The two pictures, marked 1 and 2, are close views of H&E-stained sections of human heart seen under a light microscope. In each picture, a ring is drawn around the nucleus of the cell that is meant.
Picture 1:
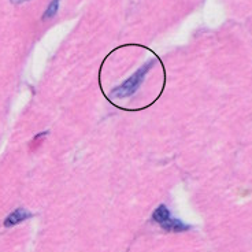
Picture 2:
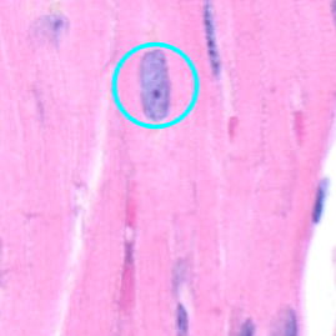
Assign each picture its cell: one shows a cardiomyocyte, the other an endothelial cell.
1: endothelial cell
2: cardiomyocyte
